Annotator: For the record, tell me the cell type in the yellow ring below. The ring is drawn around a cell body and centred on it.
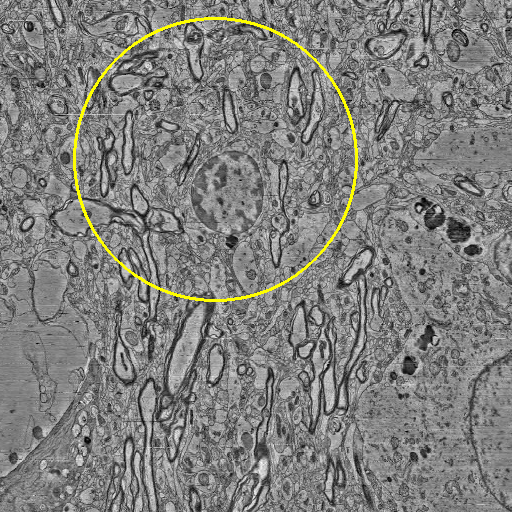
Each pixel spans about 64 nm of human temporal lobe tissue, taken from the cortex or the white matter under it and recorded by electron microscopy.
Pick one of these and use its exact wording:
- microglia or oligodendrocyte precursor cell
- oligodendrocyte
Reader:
microglia or oligodendrocyte precursor cell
